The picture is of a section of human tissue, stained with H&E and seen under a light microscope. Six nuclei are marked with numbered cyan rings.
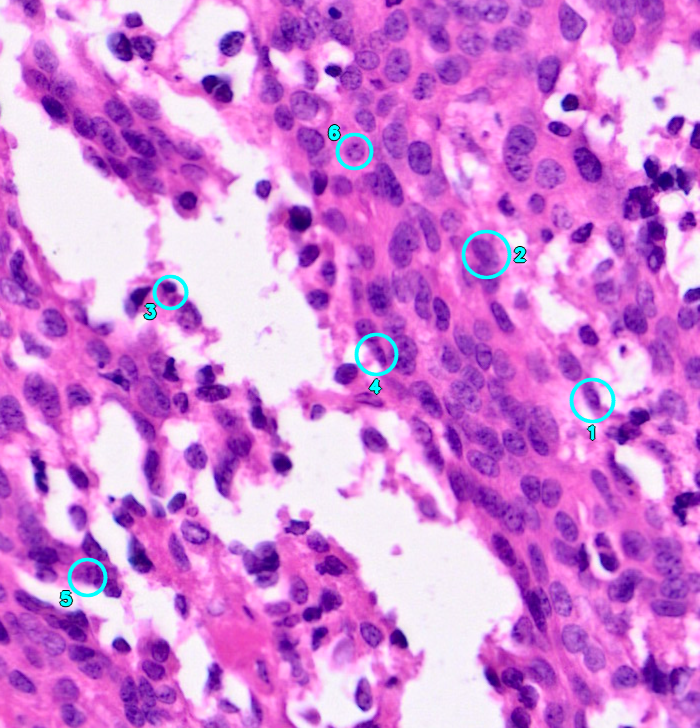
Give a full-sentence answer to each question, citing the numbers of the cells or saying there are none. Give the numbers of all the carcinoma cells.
As for the cells numbered 1, 2, 4 and 5, they are carcinoma cells.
